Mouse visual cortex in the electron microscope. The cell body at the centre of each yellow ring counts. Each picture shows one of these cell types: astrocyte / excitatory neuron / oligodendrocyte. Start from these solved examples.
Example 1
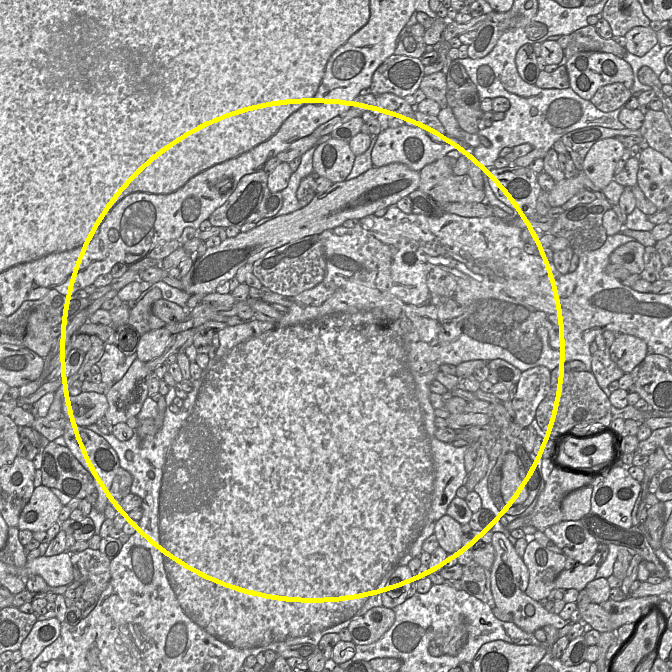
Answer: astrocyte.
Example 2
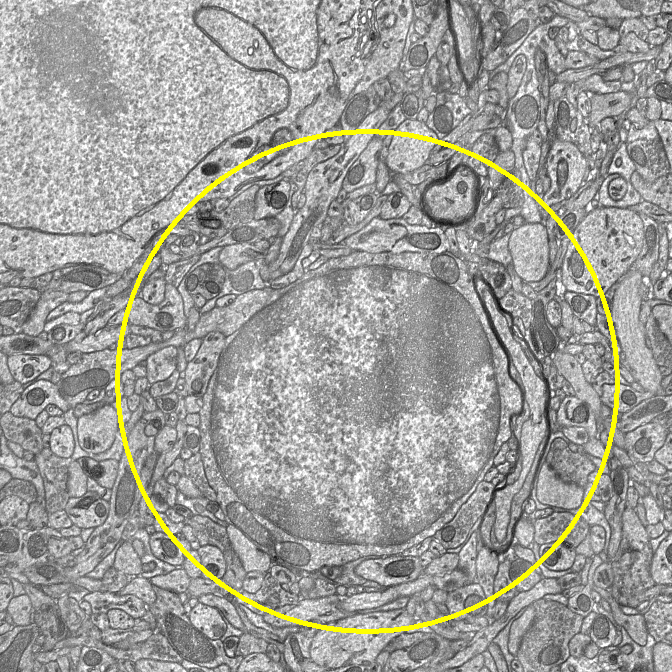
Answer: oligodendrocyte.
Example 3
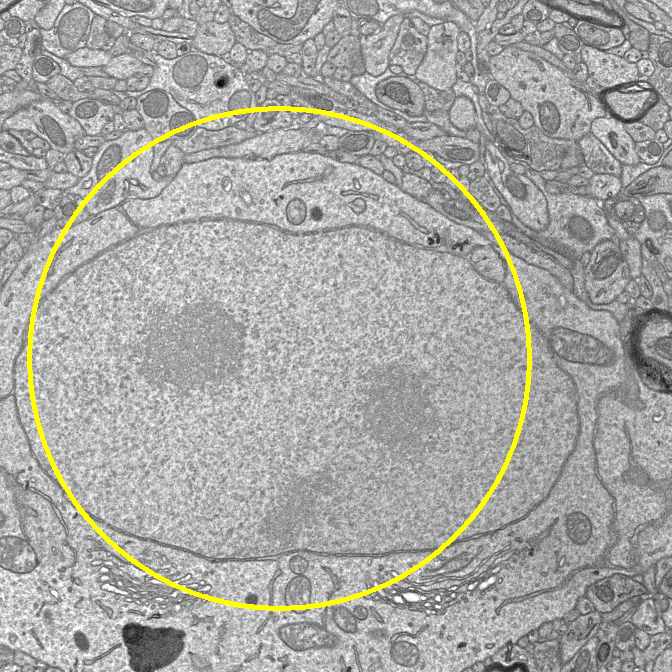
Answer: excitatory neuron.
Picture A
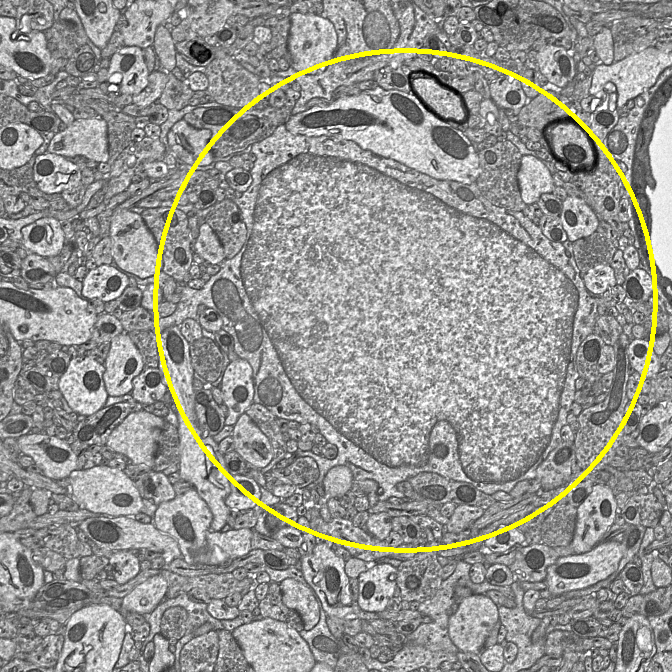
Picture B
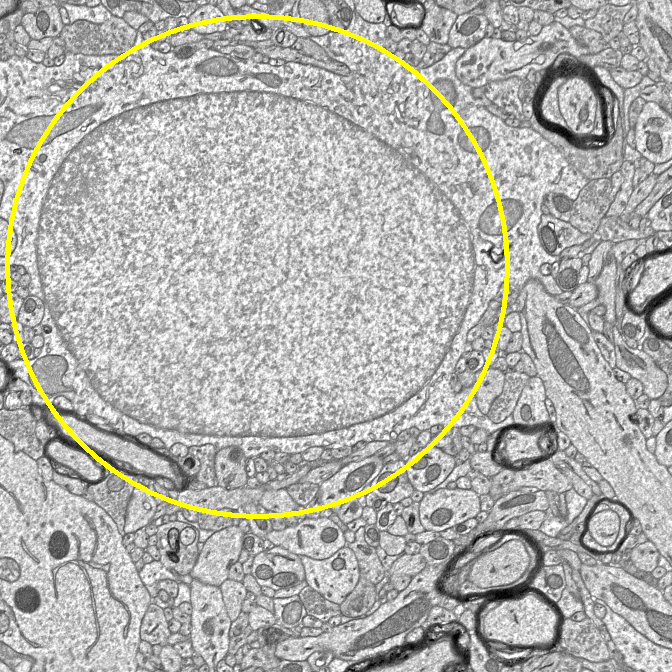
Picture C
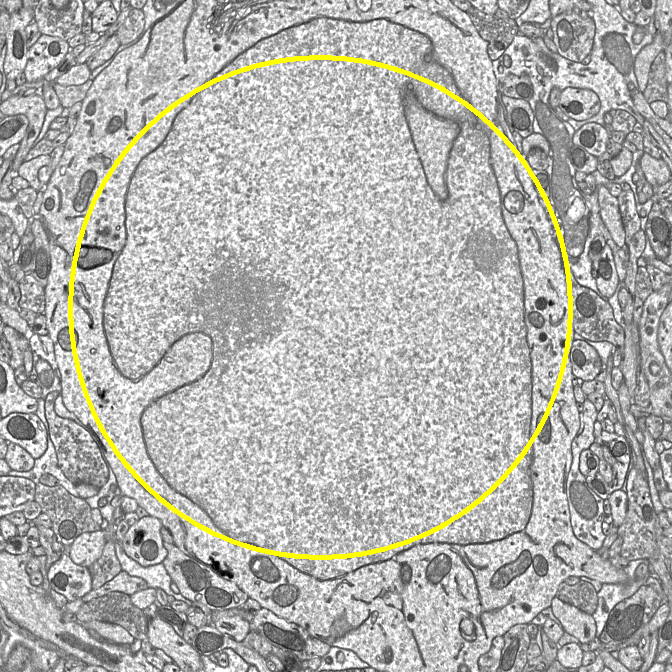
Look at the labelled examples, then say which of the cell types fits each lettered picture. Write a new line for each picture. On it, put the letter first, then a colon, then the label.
A: astrocyte.
B: astrocyte.
C: excitatory neuron.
